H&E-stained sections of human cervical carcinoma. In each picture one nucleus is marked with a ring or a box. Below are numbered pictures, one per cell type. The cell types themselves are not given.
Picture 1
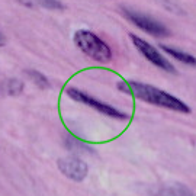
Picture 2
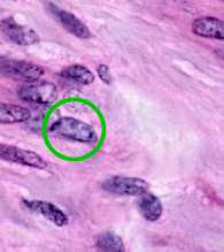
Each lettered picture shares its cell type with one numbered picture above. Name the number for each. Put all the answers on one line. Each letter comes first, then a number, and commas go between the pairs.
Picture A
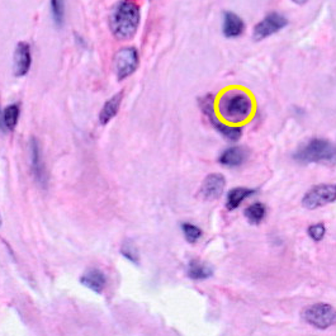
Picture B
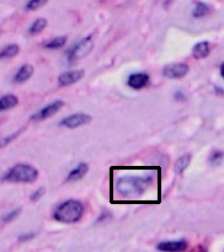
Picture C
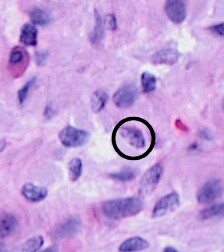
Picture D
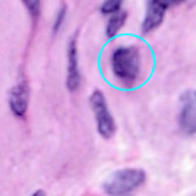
A 2, B 2, C 1, D 1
